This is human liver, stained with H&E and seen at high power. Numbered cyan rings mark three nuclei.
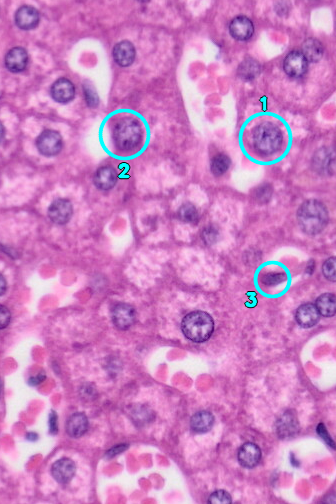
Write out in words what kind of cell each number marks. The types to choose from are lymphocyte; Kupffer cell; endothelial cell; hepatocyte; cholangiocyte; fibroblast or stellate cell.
Cell 1 is a hepatocyte, cell 2 is a hepatocyte and cell 3 is a Kupffer cell.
